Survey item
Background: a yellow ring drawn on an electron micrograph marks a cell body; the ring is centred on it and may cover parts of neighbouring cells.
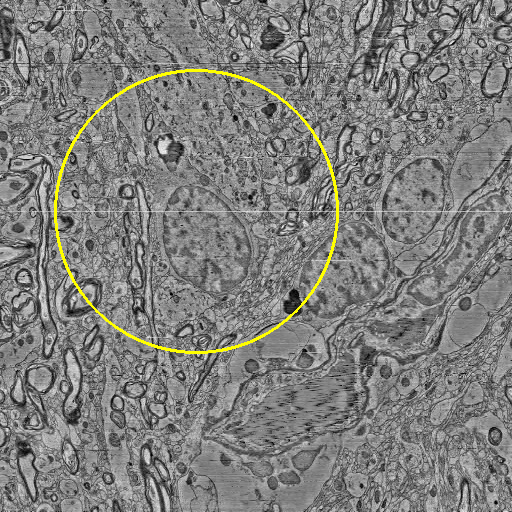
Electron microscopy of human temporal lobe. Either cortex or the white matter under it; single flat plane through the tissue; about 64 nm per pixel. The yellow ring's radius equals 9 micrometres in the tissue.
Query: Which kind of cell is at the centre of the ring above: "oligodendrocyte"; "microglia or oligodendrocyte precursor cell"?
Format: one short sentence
The cell in the middle of the ring is an oligodendrocyte.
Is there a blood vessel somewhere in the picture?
Yes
